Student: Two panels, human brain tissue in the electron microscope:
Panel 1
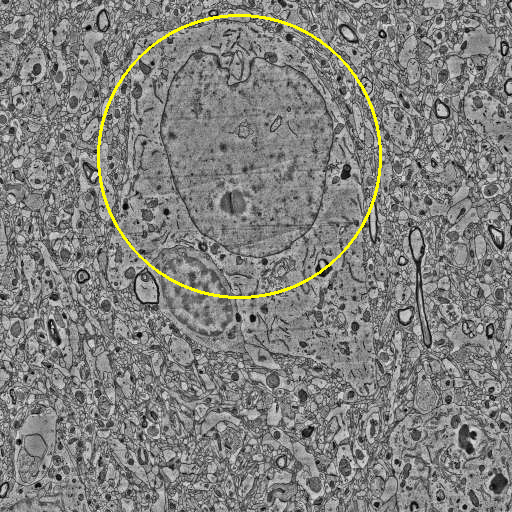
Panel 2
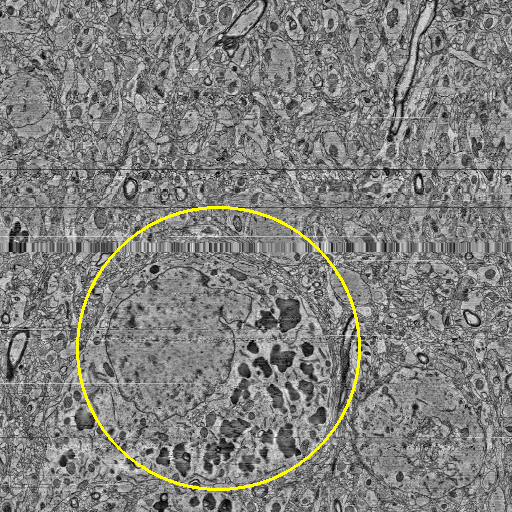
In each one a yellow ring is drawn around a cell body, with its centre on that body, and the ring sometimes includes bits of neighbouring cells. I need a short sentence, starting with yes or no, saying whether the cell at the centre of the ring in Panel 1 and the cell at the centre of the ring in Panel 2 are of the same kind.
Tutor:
No, they are two kinds of cell.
